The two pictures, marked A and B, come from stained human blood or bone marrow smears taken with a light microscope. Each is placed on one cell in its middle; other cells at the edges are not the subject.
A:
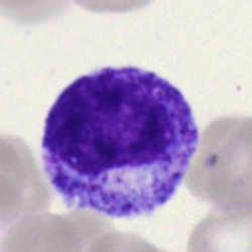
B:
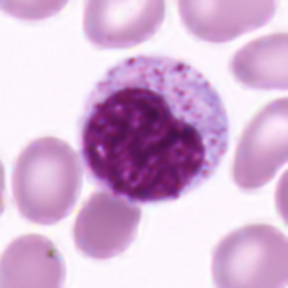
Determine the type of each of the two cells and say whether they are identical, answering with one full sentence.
No, crop A contains a myelocyte; a metamyelocyte is what crop B contains.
